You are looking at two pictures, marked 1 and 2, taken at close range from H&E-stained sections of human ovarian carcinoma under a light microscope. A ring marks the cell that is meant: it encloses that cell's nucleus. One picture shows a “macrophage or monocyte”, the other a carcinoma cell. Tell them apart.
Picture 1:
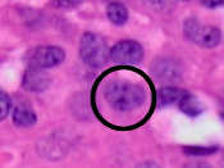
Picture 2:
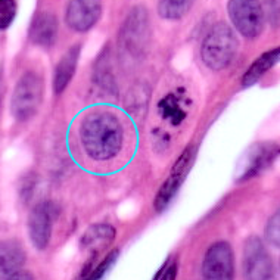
1: carcinoma cell
2: macrophage or monocyte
